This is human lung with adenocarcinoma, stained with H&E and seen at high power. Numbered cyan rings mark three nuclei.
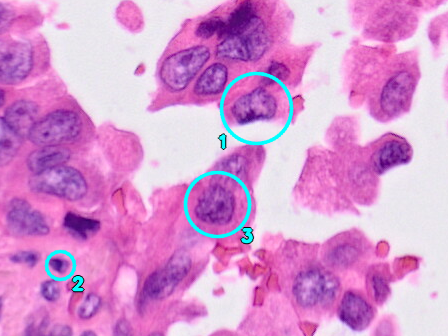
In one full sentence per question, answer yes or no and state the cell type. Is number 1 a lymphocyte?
No, cell 1 is not a lymphocyte at all but a carcinoma cell.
